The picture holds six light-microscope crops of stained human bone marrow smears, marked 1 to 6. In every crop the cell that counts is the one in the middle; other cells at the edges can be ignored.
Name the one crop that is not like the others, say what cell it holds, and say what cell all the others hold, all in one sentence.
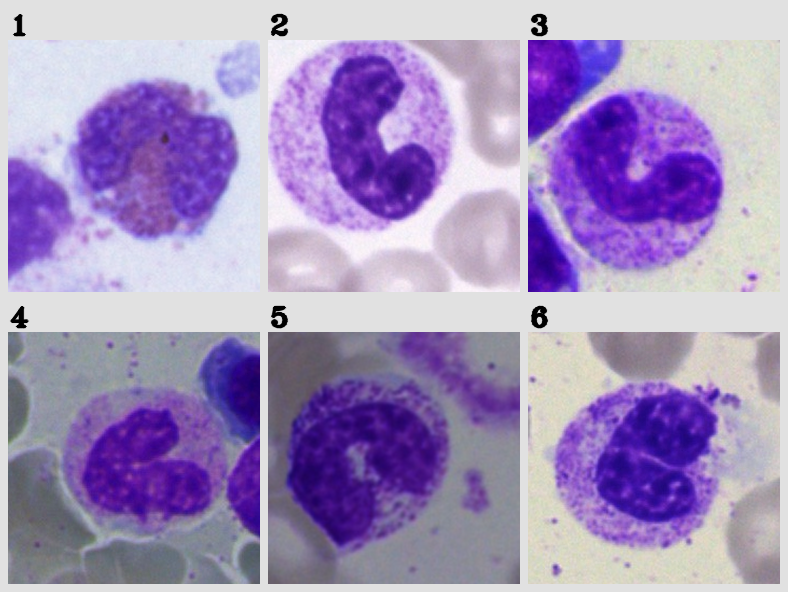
Apart from crop 1, an eosinophil, the crops all show band neutrophils.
